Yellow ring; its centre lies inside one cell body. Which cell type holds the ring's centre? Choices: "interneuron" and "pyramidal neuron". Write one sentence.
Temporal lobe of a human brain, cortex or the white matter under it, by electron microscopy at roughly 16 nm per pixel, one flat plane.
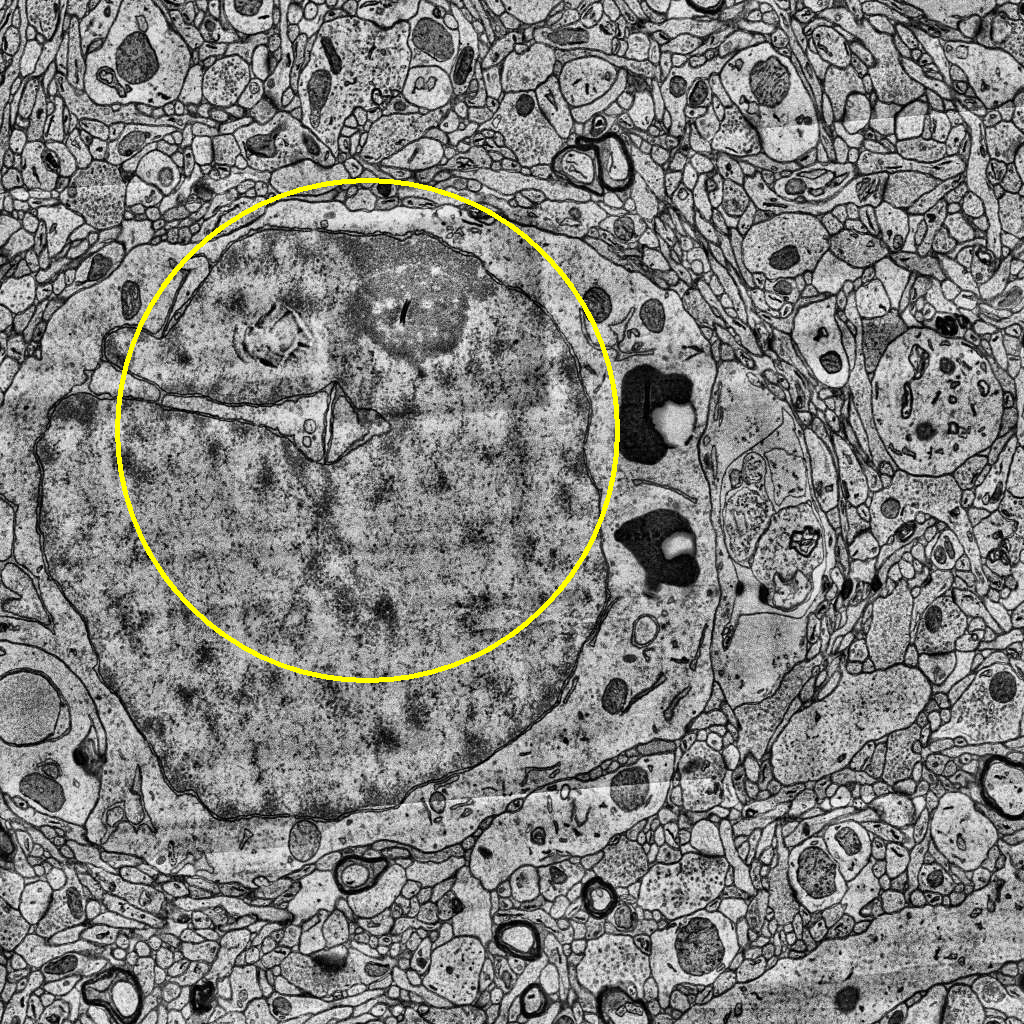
At the centre of the ring sits an interneuron.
